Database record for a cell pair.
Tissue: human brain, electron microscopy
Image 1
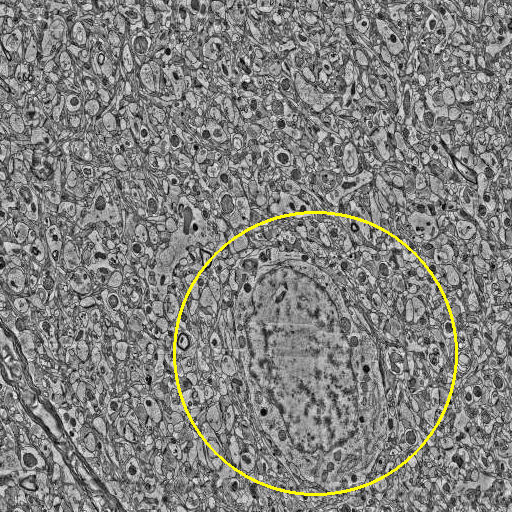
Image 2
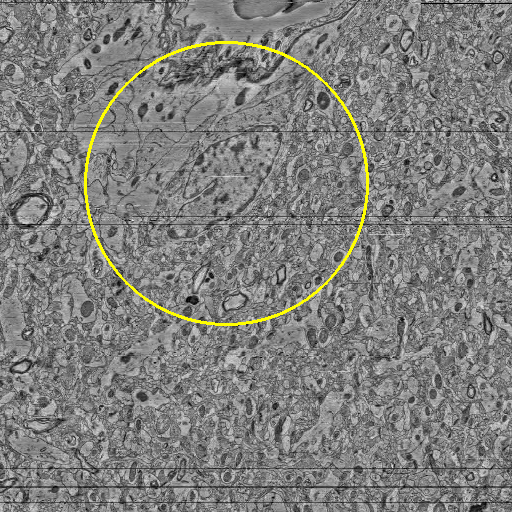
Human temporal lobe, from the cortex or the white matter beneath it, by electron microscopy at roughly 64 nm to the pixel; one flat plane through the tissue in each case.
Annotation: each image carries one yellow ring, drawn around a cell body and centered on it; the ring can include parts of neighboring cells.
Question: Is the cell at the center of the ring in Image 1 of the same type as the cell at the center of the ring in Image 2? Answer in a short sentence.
No, the cells are of two types.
